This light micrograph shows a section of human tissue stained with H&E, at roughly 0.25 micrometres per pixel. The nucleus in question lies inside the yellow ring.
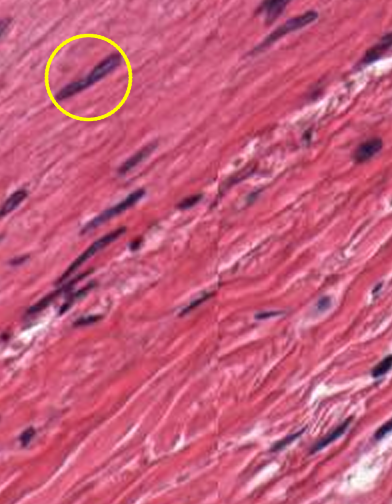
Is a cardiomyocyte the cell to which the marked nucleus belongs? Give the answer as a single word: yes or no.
no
